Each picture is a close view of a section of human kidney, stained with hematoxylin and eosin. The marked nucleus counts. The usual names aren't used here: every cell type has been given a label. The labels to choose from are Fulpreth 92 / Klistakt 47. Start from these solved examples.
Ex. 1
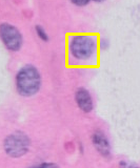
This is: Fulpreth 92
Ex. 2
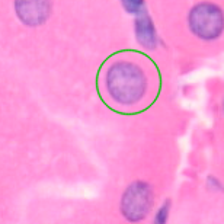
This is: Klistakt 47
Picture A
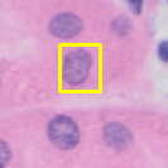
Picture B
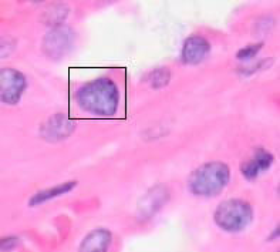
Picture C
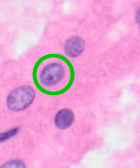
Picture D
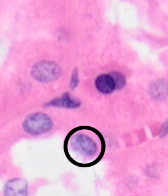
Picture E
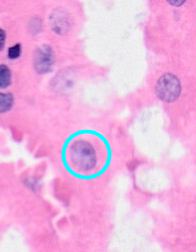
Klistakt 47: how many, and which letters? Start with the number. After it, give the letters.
Count: 3 (A, C, E)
